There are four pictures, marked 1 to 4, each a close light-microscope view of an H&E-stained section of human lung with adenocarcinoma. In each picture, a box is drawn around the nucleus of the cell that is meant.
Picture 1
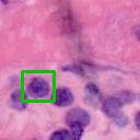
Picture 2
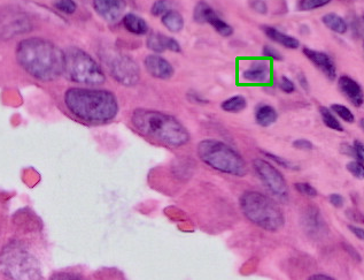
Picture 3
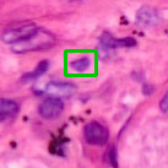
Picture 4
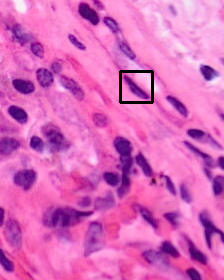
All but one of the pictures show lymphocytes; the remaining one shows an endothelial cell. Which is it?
4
